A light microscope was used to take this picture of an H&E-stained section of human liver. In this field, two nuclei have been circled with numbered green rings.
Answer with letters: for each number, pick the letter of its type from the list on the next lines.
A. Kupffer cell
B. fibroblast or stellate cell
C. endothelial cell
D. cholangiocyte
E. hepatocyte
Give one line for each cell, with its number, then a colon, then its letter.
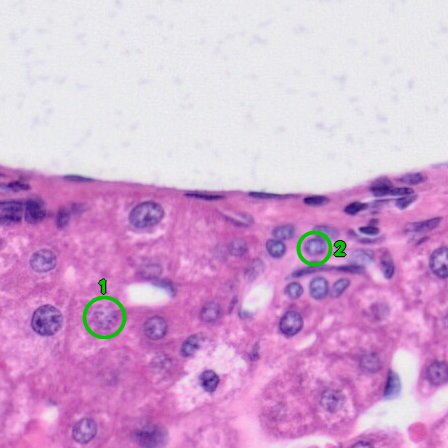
1: E
2: D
